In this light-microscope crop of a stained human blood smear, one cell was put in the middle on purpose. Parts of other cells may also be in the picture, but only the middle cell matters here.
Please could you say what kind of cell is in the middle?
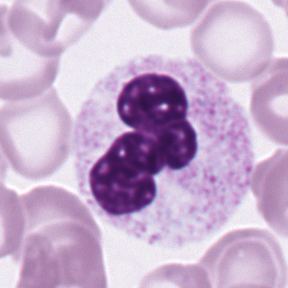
neutrophil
